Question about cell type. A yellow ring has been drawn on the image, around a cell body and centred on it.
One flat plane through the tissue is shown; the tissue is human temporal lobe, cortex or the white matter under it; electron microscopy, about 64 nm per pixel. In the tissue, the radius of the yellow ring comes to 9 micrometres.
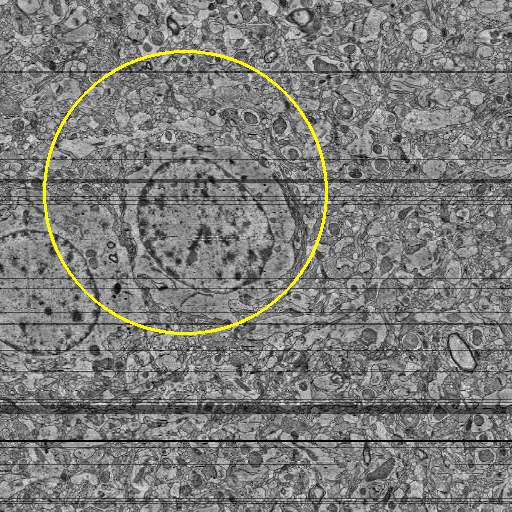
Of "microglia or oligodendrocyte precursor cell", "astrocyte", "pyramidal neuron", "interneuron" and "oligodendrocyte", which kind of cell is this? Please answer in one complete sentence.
At the centre of the ring lies an astrocyte.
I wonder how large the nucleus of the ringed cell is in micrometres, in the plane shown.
The ringed cell's nucleus is about 10 micrometres long and 8 micrometres wide in this plane.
